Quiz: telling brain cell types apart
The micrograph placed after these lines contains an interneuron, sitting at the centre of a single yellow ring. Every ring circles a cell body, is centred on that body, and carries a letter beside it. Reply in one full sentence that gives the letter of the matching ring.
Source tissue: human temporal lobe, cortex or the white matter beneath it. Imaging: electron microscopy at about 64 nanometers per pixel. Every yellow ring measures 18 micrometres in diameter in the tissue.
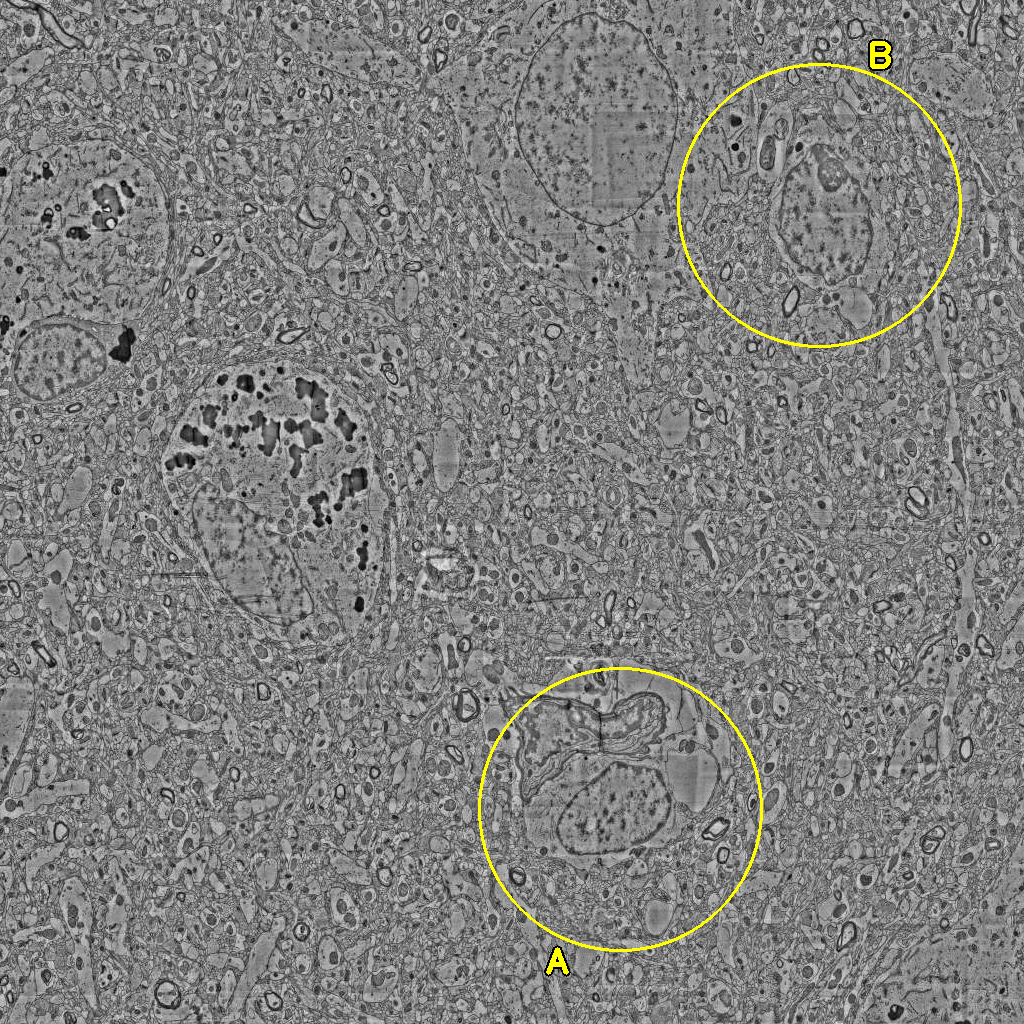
The cell asked for lies at the centre of ring B in the picture.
